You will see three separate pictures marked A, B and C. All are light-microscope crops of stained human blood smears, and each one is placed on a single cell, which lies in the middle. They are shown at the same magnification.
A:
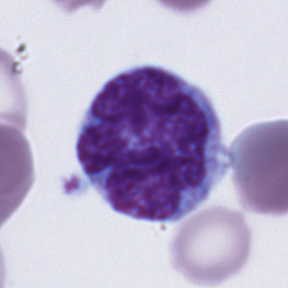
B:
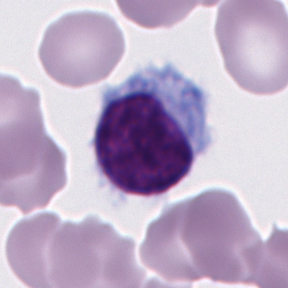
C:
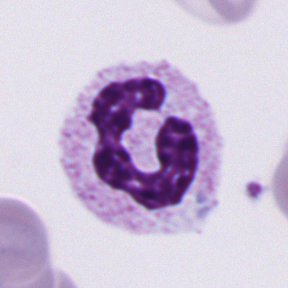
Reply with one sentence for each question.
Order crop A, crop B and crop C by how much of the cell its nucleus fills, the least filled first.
The least filled comes first: C, B, A.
